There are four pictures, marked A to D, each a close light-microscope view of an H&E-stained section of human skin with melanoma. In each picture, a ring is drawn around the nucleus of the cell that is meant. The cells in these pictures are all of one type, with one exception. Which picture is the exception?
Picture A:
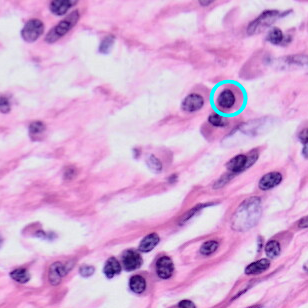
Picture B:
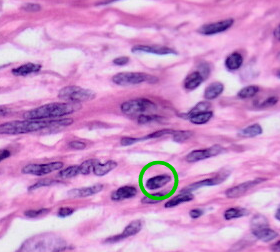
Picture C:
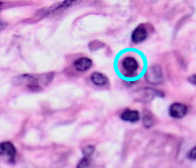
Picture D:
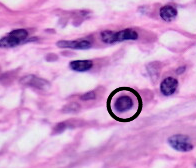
B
